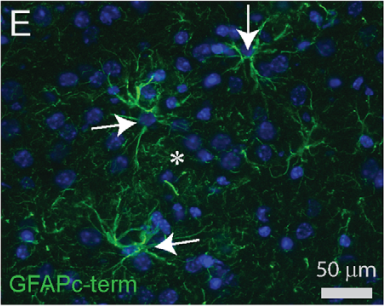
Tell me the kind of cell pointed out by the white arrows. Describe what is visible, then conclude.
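At each arrow is a star-shaped green cell with many thick processes. The cells lie around the asterisk.
Conclusion: reactive astrocytes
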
